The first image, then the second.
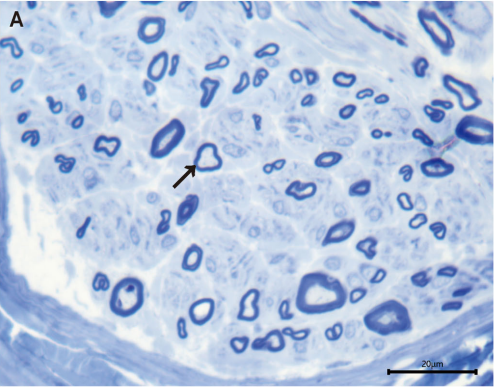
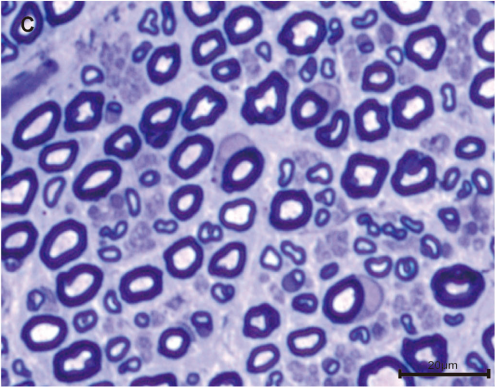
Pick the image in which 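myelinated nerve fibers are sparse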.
the first image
